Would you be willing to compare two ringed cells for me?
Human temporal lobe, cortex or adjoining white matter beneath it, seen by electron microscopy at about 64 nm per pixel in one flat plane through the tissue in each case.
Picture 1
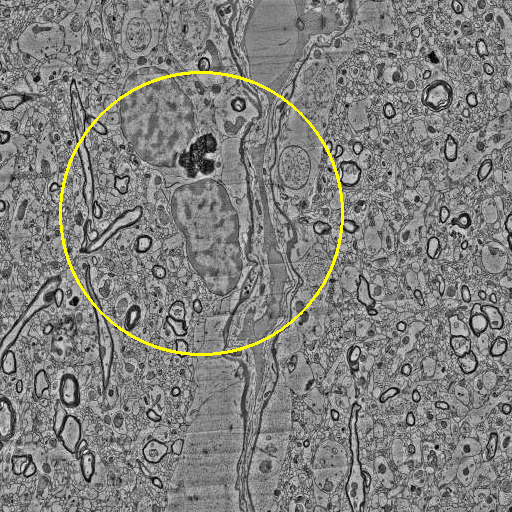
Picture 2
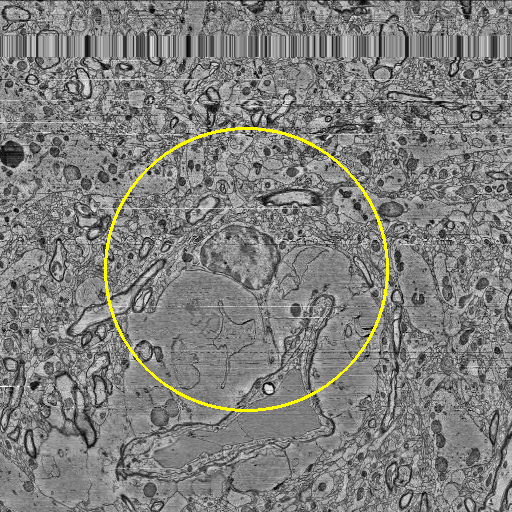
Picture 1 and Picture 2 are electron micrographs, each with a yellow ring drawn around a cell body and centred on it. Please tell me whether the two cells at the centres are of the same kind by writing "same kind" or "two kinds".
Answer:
same kind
